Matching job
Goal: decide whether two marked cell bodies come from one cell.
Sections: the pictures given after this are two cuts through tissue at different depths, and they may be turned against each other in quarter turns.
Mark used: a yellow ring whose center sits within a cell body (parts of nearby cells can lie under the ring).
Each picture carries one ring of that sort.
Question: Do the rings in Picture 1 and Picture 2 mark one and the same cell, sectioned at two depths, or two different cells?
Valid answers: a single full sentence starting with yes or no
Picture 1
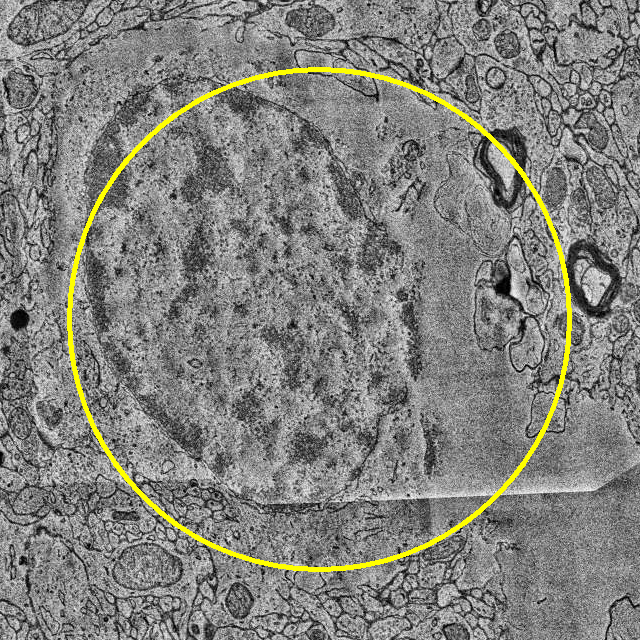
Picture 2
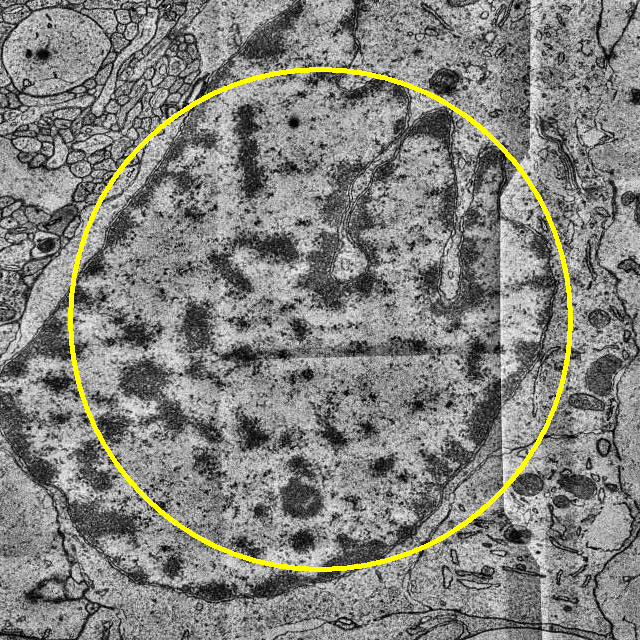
No, one ring and the other ring mark two distinct cells.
